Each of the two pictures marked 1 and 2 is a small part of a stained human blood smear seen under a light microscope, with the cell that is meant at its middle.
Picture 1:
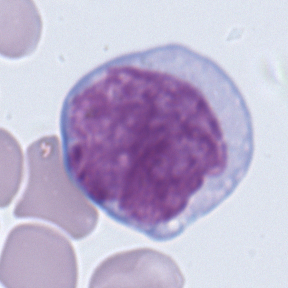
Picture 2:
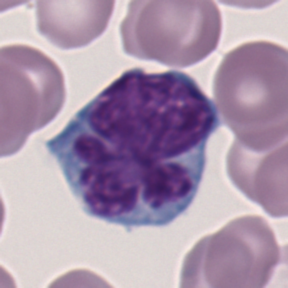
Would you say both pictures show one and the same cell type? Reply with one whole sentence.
Yes; the cells in both pictures are myeloblasts.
